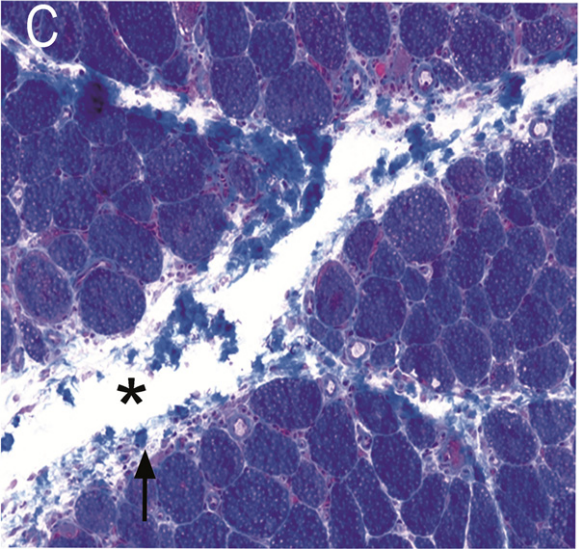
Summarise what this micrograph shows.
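Skeletal muscle in cross section; rounded muscle fibres grouped in fascicles, their cytoplasm dark blue with a fine speckled texture. A broad clear cleft runs diagonally through the perimysium between fascicles, its edges lined by torn, wispy blue-stained connective tissue giving a frothy look. Small vessels and scattered nuclei sit in the perimysium beside the fascicles.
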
